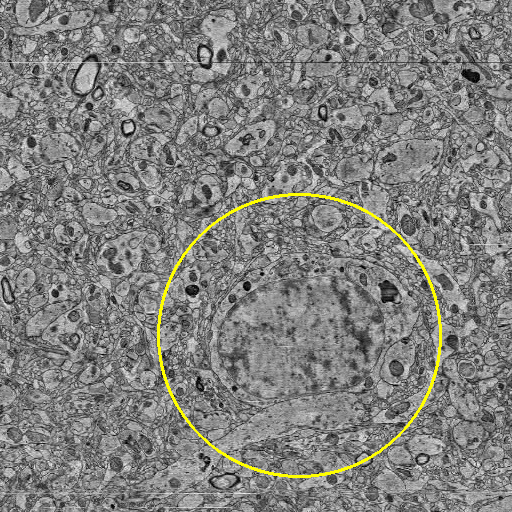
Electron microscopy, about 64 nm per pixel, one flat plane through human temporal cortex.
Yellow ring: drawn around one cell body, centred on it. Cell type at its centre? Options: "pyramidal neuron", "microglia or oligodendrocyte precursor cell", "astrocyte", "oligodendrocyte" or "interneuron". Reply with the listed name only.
interneuron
